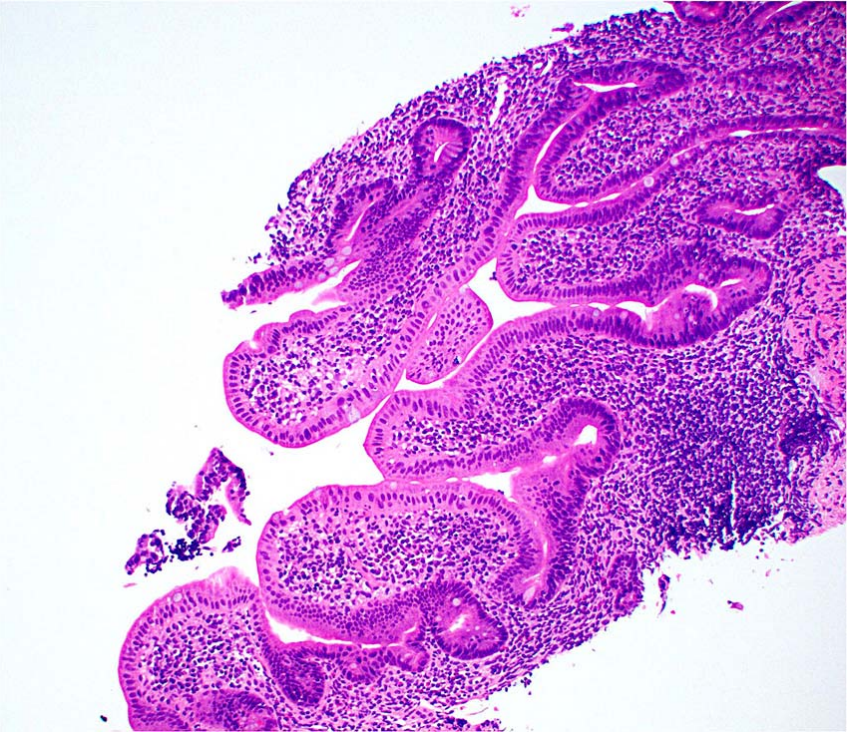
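A strip of small-intestinal mucosa with several broad, club-like villi. Each villus is covered by a single layer of tall columnar epithelial cells with basally placed purple nuclei and pink cytoplasm, and a few pale cells with cleared cytoplasm are scattered among them. The villous cores are wide and stuffed with many small round cells with dark nuclei, so the lamina propria looks expanded and hypercellular; the same dense cellular infiltrate fills the deeper mucosa toward the right. Crypts are few and inconspicuous.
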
